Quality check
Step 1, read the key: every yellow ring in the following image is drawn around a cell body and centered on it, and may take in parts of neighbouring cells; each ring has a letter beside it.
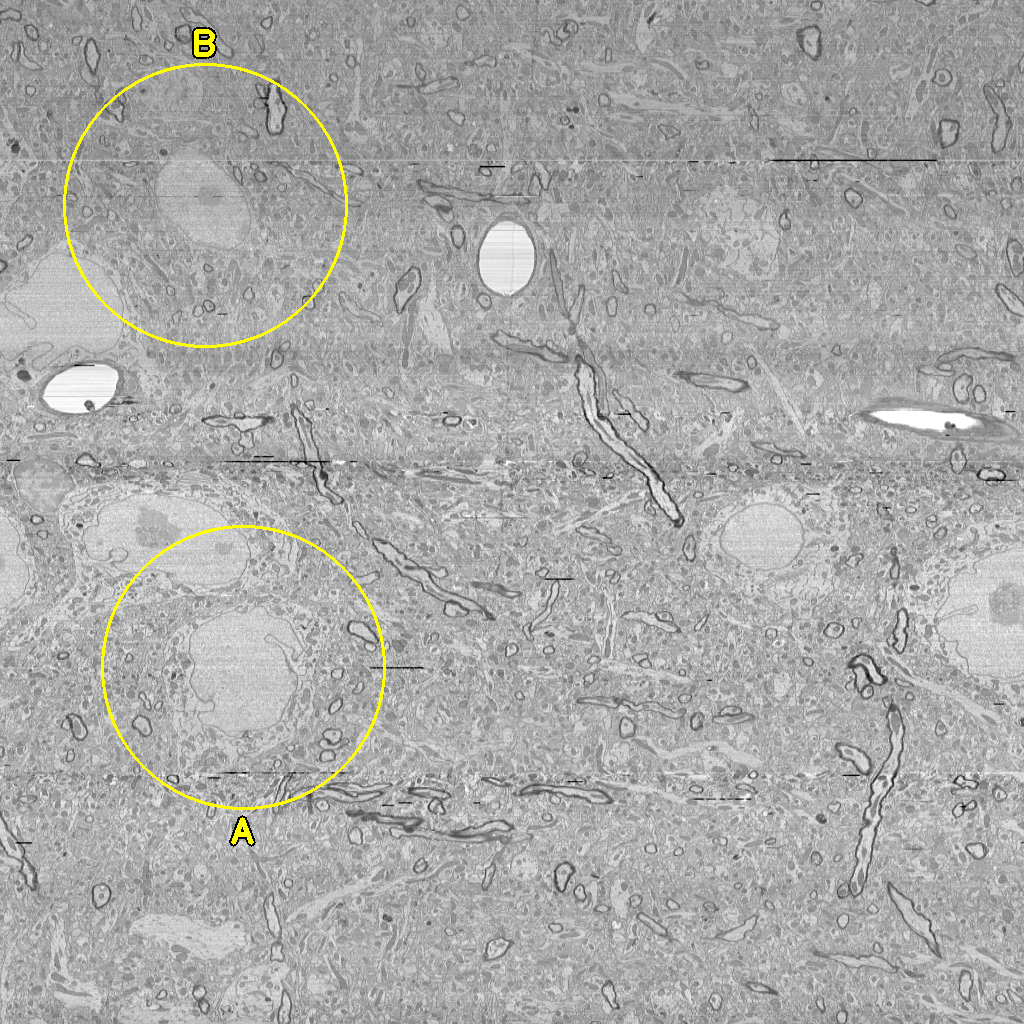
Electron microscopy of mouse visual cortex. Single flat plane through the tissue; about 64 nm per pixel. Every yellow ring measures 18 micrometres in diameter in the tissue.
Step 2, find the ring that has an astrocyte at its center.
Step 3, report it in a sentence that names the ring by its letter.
Ring B is centered on that cell.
